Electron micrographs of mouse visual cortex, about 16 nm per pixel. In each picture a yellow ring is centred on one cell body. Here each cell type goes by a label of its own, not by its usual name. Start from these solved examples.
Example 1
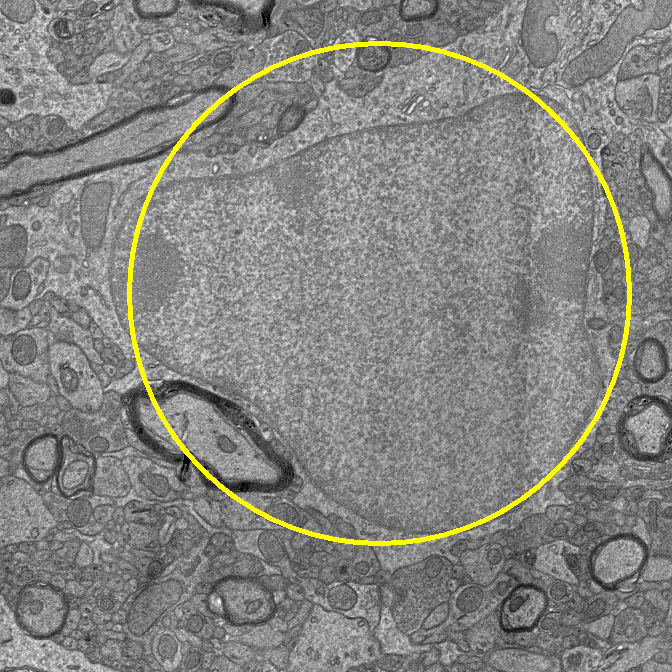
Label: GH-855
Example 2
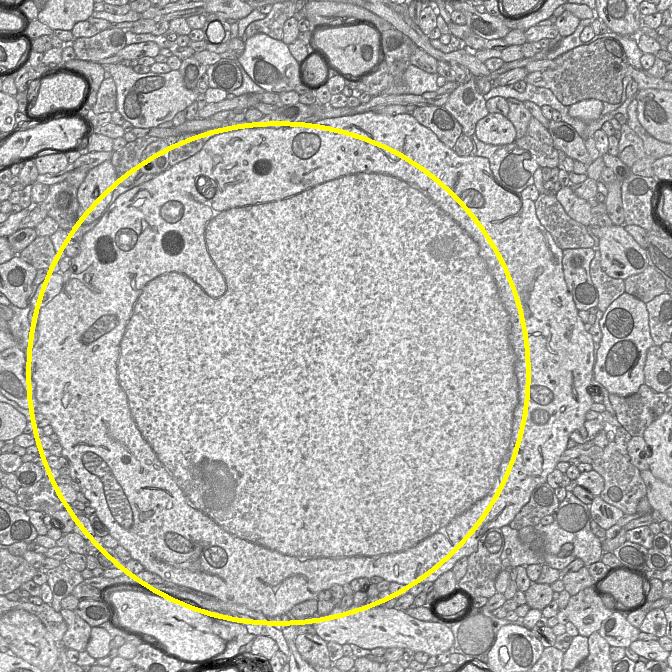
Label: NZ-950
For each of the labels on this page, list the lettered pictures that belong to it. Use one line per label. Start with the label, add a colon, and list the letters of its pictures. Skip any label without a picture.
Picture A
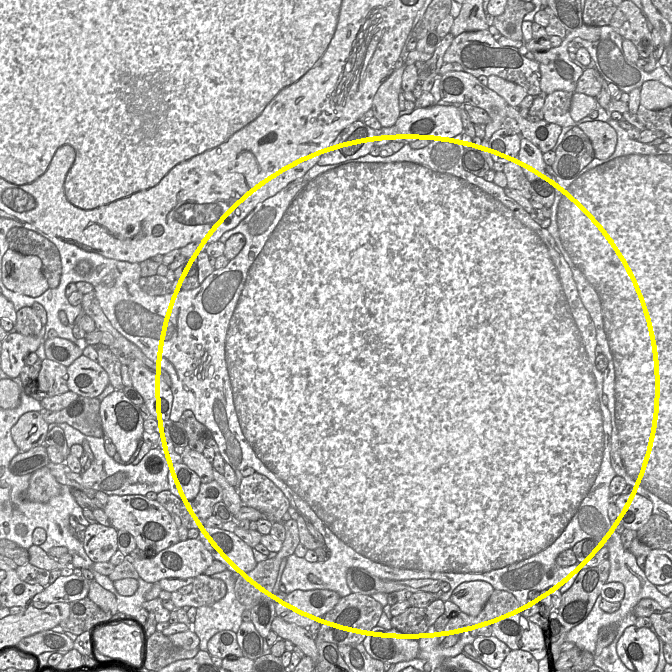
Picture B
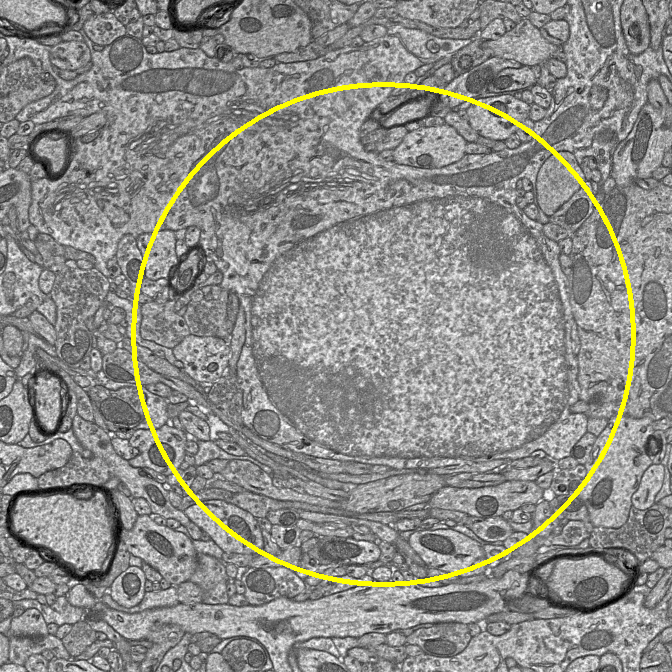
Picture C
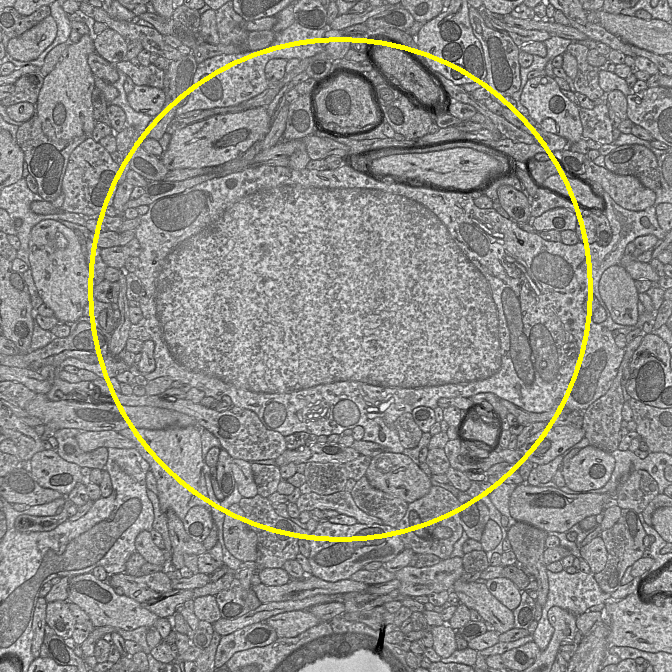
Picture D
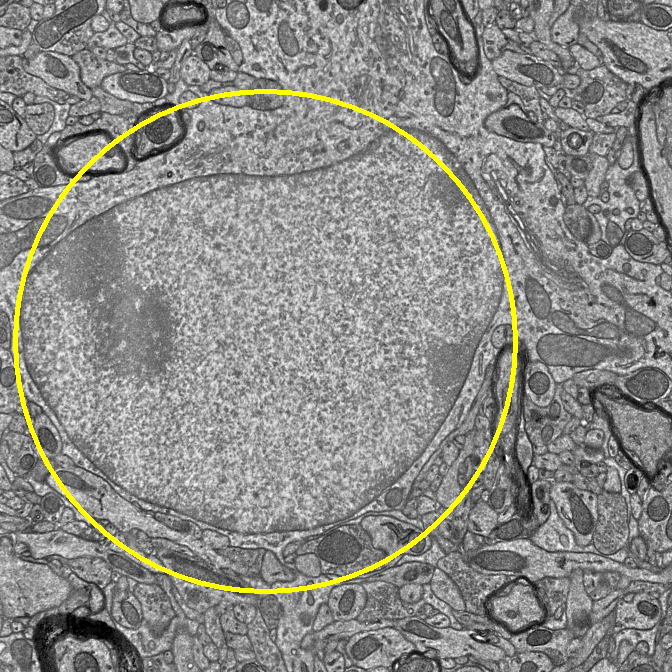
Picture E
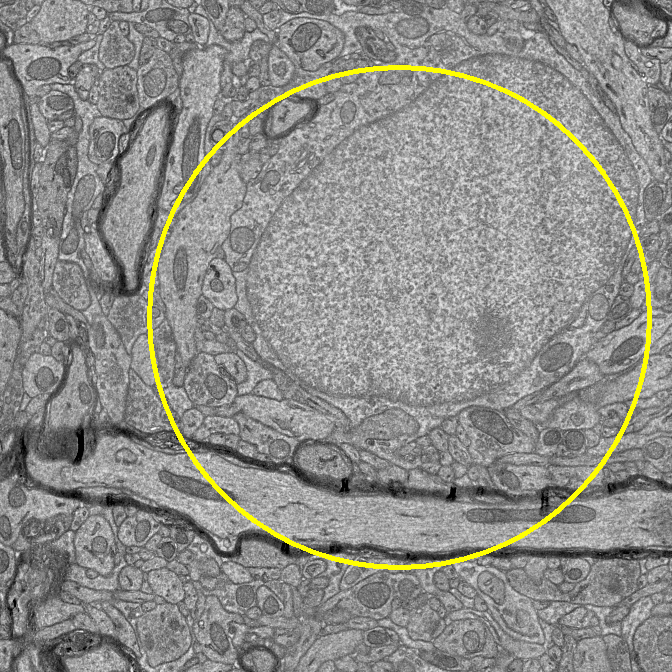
GH-855: A, B, C, D, E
